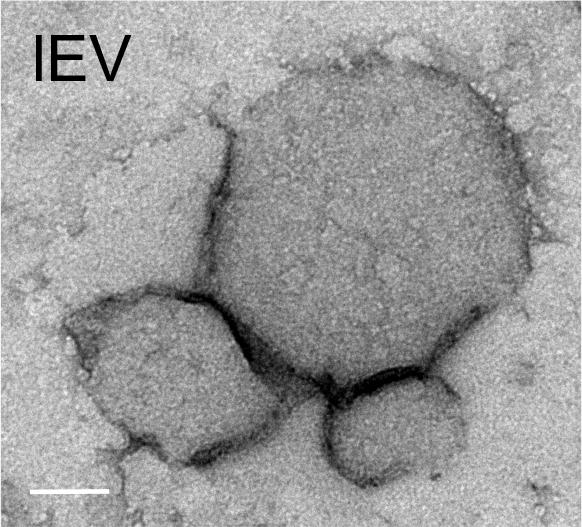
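Three rounded, membrane-bounded particles of unequal size lie against one another on a grainy grey background. Each has a pale, fairly even interior and a dark rim, outlining a thin boundary membrane. The largest is well over twice the width of the smallest, and where they touch the particles flatten slightly against one another.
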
